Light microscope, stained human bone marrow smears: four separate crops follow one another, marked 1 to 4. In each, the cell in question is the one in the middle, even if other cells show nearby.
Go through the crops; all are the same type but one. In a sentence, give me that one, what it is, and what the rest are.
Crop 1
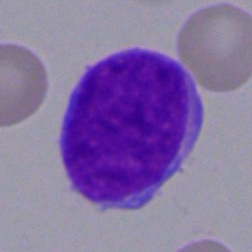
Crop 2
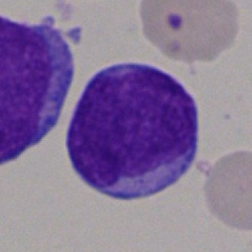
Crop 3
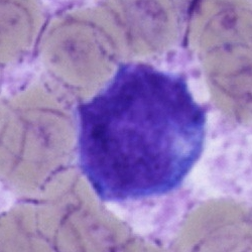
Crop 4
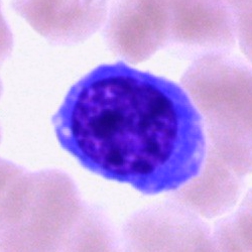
Of the crops, all show blasts save crop 4, which shows an erythroblast.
